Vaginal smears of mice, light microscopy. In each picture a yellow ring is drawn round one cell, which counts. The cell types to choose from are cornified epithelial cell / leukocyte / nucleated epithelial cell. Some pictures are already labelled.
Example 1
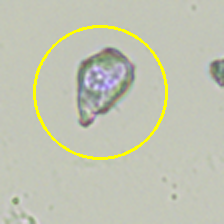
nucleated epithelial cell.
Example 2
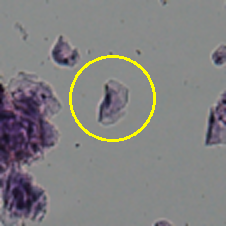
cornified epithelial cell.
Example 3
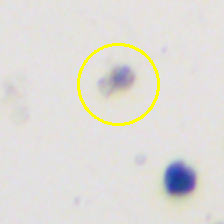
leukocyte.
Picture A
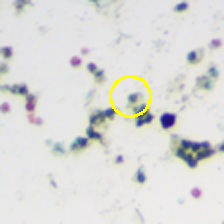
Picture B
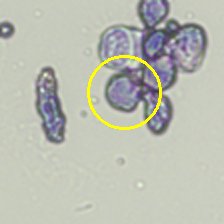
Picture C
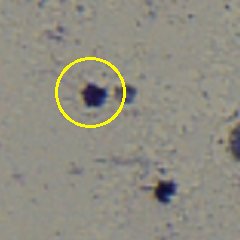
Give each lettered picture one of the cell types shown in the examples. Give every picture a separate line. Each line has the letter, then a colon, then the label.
A: leukocyte.
B: nucleated epithelial cell.
C: leukocyte.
